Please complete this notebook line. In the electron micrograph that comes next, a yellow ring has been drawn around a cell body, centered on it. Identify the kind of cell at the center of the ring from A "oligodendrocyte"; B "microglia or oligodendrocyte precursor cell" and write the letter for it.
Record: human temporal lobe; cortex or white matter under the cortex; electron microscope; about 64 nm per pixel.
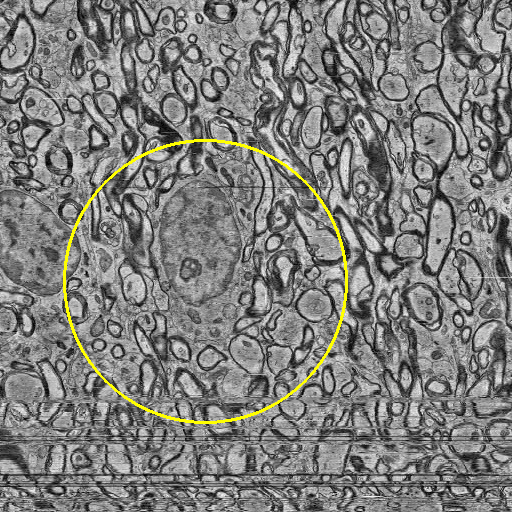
A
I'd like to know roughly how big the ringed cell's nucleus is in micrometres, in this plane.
In this plane the nucleus measures roughly 8 by 6 micrometres.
